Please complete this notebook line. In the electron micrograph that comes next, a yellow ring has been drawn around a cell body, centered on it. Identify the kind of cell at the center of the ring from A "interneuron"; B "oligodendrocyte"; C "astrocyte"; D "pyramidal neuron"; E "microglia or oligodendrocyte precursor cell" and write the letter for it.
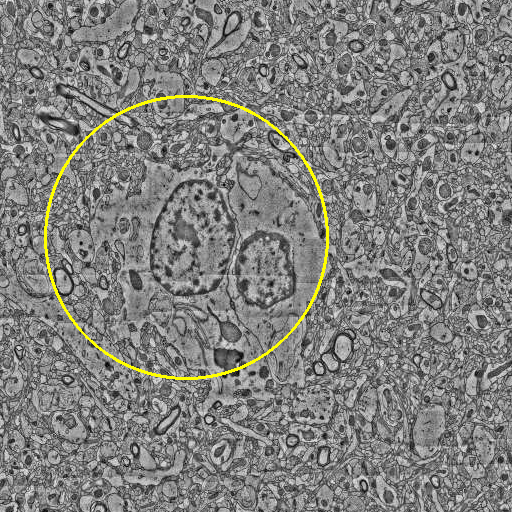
C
